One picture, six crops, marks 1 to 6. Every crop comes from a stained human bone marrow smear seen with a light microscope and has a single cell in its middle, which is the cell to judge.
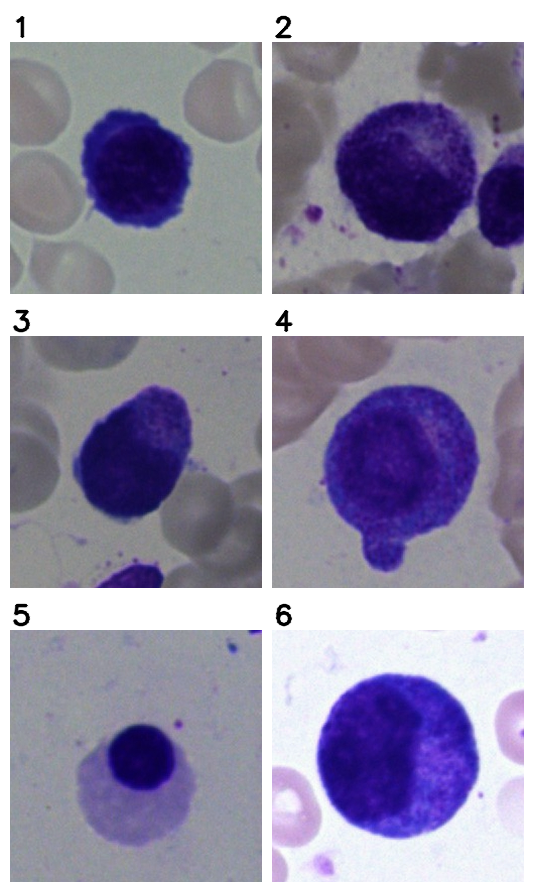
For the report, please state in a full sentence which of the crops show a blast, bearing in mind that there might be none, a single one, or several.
Crop 3 is the one and only crop with a blast.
